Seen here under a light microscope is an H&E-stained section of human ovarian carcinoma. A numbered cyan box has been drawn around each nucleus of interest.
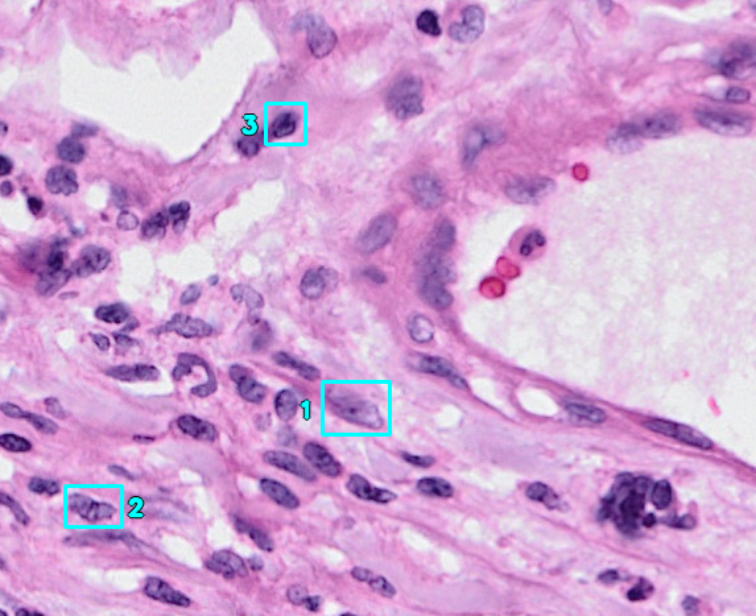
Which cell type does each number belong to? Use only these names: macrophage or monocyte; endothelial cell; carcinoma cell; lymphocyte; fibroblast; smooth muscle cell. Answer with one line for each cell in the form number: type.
1: fibroblast
2: macrophage or monocyte
3: lymphocyte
